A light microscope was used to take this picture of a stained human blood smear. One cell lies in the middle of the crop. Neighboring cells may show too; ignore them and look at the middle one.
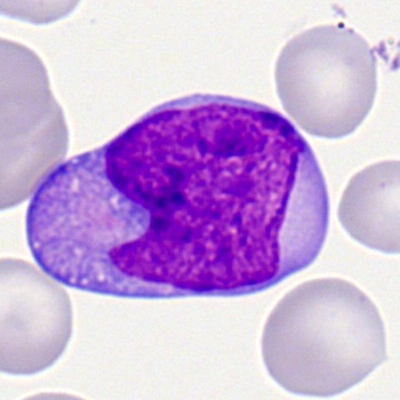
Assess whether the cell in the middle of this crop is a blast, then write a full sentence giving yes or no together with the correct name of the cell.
Yes, the cell occupying the middle of the crop is a blast.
